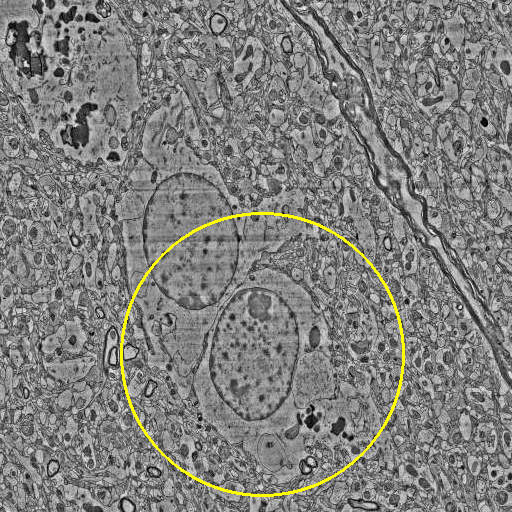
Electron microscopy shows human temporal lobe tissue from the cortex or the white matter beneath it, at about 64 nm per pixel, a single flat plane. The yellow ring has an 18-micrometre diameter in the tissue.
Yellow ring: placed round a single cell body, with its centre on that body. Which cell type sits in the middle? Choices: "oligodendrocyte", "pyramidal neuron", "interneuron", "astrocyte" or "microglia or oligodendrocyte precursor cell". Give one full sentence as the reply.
It is an astrocyte whose cell body sits at the centre of the yellow ring.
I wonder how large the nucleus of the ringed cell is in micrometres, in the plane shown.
Approximately 8 micrometres long and 6 micrometres wide, so clearly longer than it is wide in this plane.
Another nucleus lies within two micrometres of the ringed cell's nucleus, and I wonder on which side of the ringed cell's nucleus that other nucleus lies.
The other one is to the upper left of it.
